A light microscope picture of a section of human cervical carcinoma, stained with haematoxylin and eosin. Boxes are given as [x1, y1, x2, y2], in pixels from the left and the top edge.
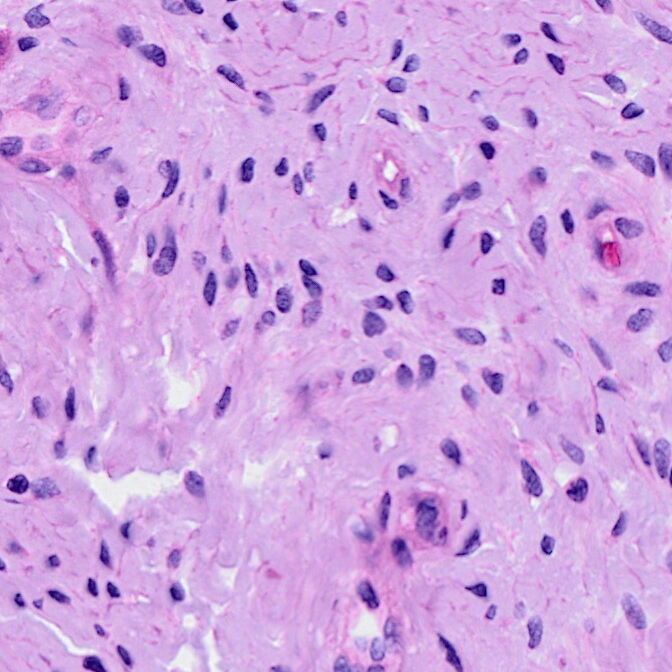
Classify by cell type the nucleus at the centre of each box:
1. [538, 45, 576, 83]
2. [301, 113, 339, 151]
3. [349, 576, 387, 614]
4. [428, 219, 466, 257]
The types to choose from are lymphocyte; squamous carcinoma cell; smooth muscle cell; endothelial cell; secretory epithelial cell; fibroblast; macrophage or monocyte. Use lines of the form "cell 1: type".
cell 1: fibroblast
cell 2: fibroblast
cell 3: endothelial cell
cell 4: fibroblast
